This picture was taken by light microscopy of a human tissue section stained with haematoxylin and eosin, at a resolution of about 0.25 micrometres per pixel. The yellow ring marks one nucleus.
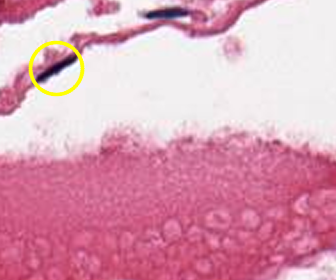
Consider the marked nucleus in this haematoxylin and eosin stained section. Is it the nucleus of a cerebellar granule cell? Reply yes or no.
no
